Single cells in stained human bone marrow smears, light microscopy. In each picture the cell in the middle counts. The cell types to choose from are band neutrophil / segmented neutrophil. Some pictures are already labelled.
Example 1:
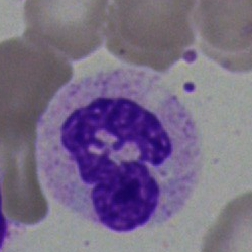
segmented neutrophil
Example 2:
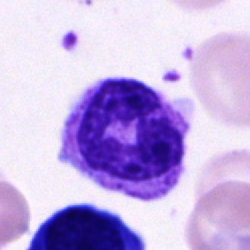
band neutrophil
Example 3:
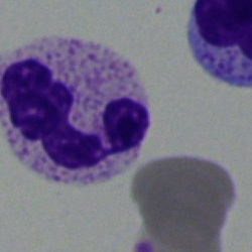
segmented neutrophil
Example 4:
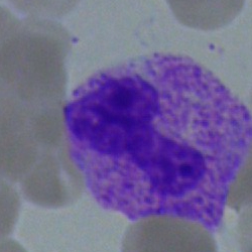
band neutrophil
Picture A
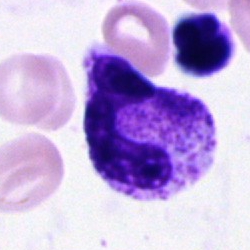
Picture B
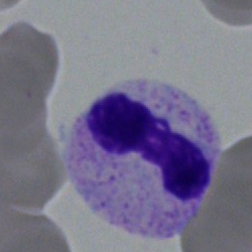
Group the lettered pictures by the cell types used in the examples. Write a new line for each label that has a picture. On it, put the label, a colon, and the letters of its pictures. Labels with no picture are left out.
band neutrophil: B
segmented neutrophil: A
